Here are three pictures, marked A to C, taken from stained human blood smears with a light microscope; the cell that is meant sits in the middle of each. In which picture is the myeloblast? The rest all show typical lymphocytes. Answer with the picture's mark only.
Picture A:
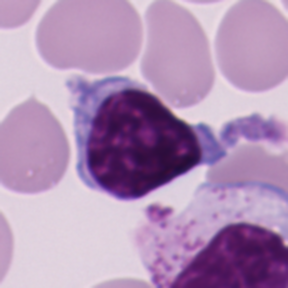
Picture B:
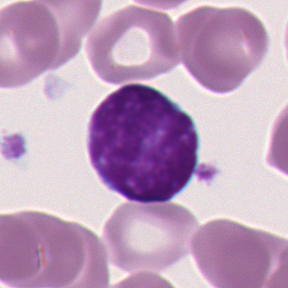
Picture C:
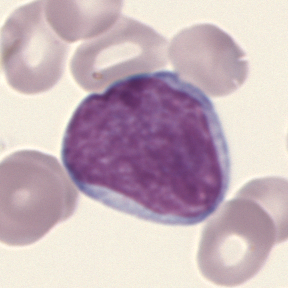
C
